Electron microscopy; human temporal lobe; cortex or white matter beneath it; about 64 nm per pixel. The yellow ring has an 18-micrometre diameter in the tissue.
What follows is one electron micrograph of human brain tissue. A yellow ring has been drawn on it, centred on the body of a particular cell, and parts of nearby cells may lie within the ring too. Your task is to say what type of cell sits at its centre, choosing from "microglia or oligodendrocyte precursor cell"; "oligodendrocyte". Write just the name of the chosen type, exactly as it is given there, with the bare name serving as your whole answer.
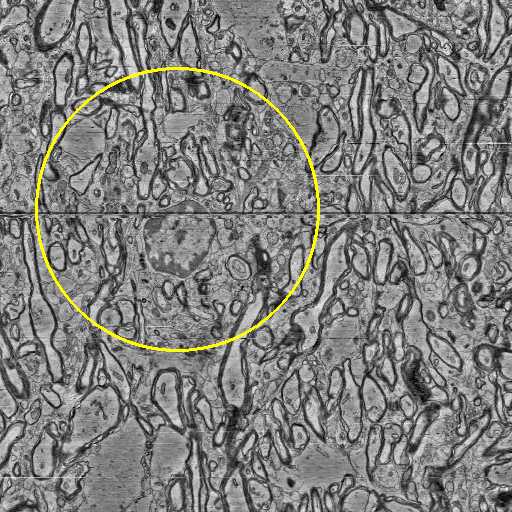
microglia or oligodendrocyte precursor cell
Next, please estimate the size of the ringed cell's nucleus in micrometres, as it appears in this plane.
In this plane the nucleus spans approximately 5 by 4 micrometers.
